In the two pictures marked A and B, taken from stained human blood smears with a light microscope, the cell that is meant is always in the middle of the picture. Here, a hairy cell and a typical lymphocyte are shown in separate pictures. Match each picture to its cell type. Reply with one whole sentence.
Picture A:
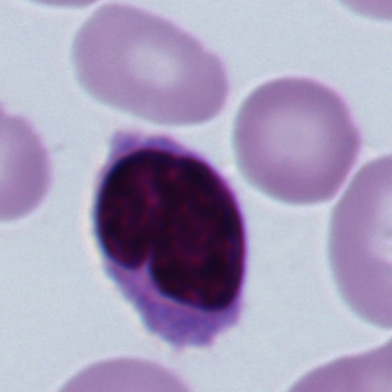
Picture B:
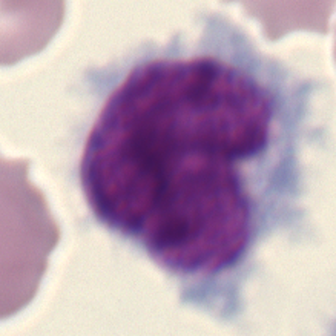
The cell in picture A is a typical lymphocyte, and the one in picture B is a hairy cell.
